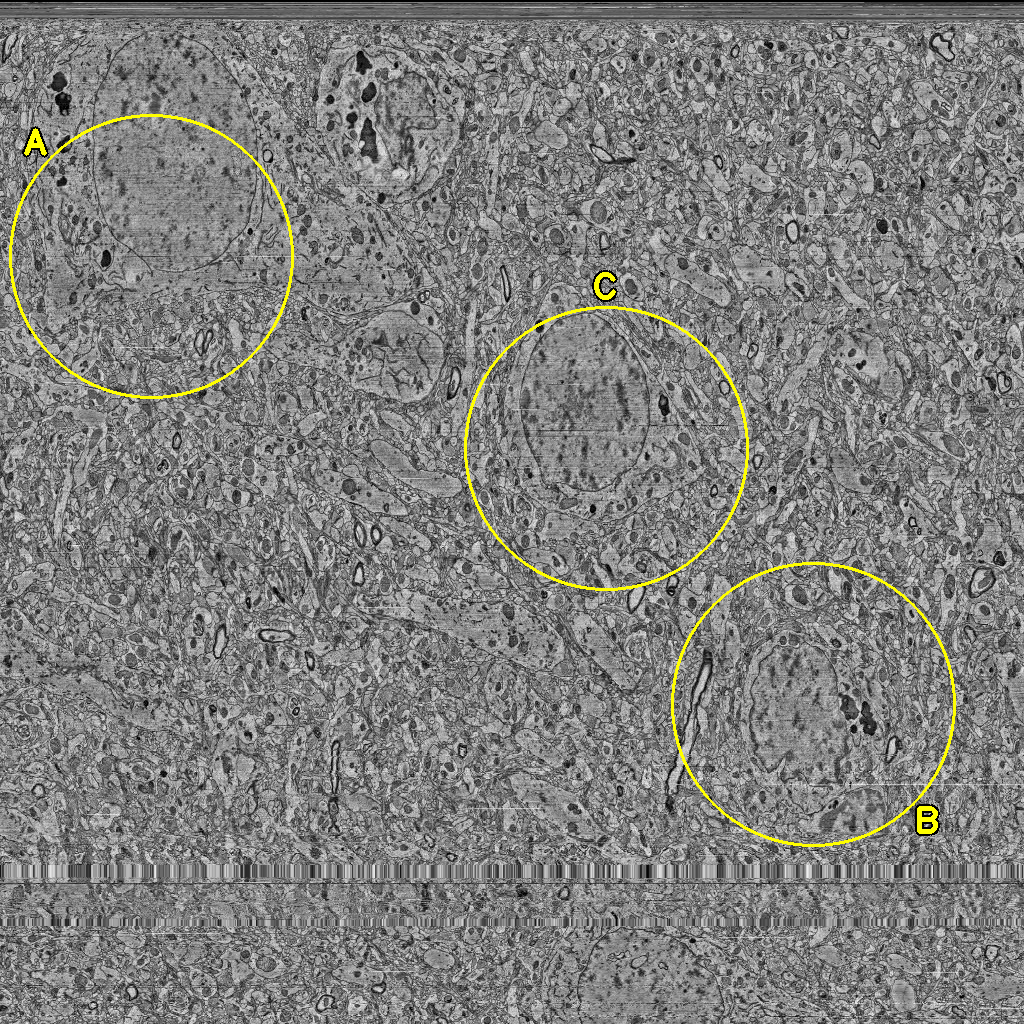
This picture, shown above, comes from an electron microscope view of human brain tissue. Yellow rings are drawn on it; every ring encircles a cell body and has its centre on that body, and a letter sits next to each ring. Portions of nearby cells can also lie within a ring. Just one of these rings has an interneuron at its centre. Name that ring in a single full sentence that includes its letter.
In the picture, ring B has the cell asked for at its centre.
